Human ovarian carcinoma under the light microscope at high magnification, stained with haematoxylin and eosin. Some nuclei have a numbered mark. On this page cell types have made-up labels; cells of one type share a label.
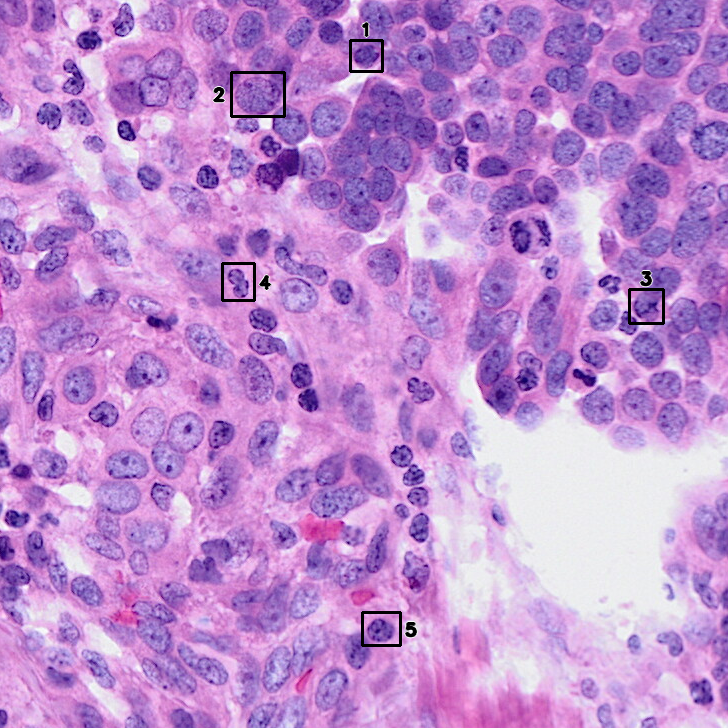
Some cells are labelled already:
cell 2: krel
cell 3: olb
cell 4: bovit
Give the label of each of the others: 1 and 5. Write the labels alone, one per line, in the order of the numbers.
krel
bovit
